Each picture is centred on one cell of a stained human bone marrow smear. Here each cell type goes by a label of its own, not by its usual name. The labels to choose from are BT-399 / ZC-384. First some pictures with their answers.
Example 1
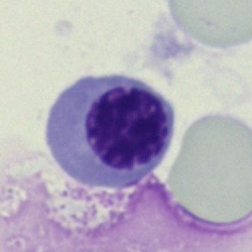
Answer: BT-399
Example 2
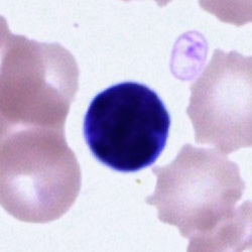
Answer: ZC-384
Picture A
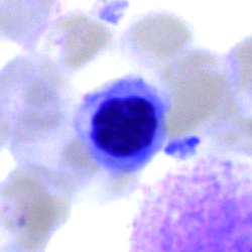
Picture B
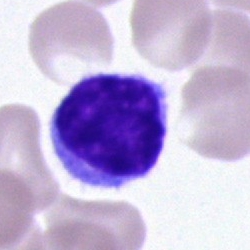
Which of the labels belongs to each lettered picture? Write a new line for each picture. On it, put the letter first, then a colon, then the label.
A: BT-399
B: ZC-384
